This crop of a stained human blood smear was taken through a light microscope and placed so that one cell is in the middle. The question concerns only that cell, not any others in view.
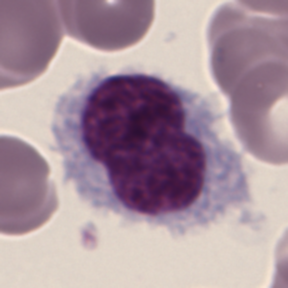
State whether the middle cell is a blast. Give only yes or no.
no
